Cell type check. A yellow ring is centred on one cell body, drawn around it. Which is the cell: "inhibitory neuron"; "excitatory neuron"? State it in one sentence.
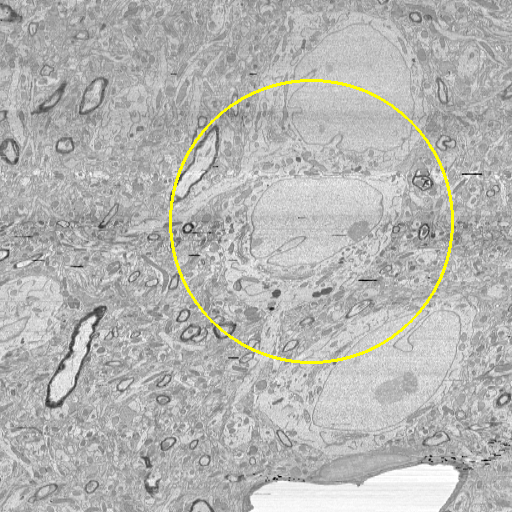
The cell body at the ring's centre belongs to an excitatory neuron.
